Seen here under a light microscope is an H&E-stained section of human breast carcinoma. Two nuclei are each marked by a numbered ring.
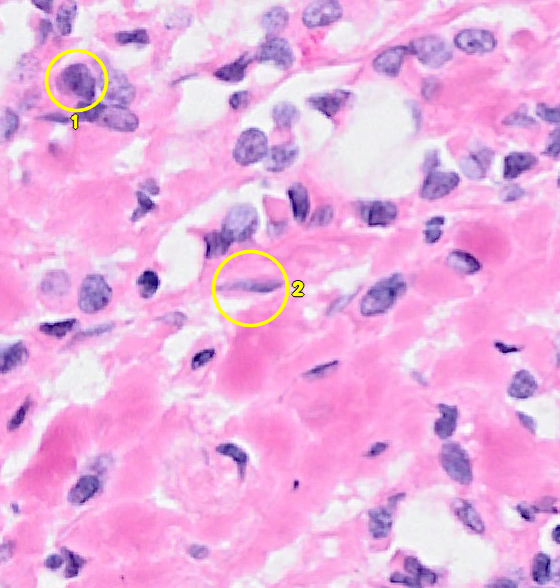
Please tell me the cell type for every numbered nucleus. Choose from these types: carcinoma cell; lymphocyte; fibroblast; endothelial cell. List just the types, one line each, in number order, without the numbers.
carcinoma cell
fibroblast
